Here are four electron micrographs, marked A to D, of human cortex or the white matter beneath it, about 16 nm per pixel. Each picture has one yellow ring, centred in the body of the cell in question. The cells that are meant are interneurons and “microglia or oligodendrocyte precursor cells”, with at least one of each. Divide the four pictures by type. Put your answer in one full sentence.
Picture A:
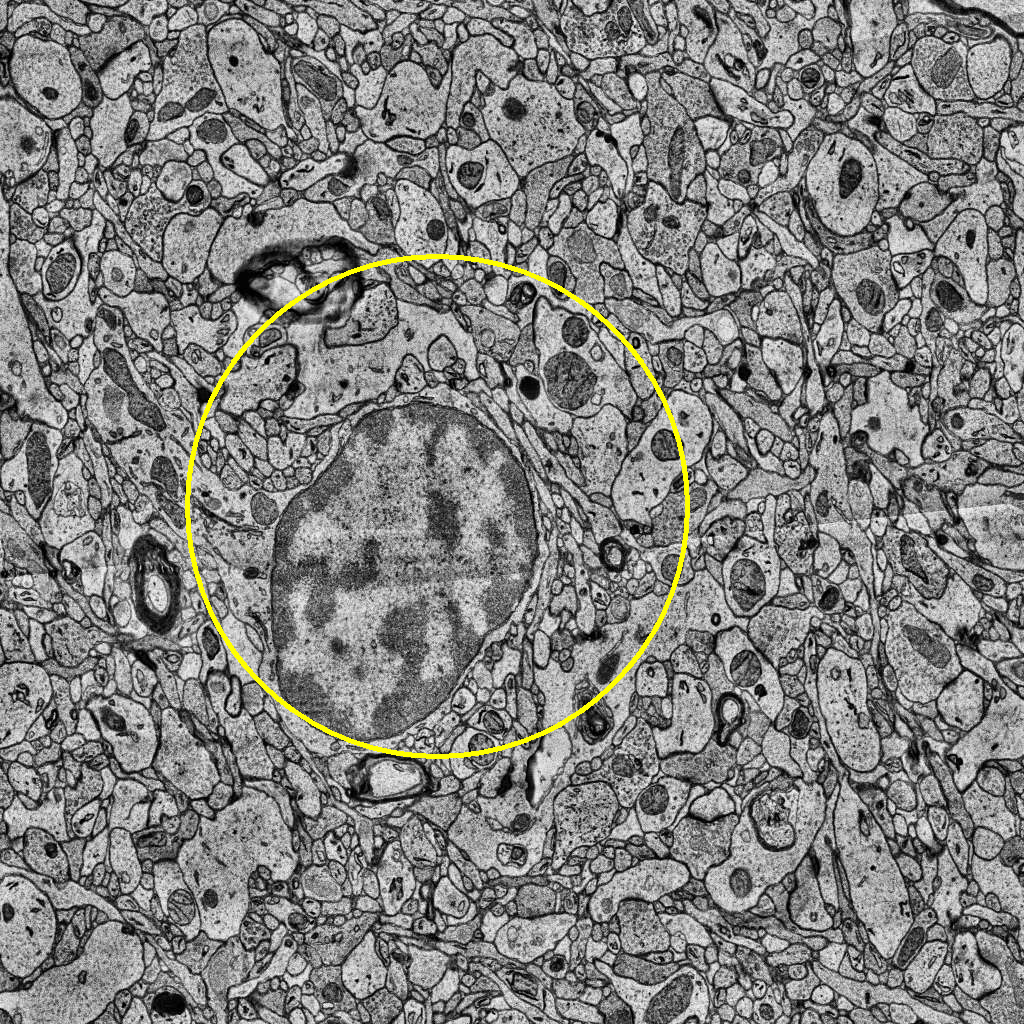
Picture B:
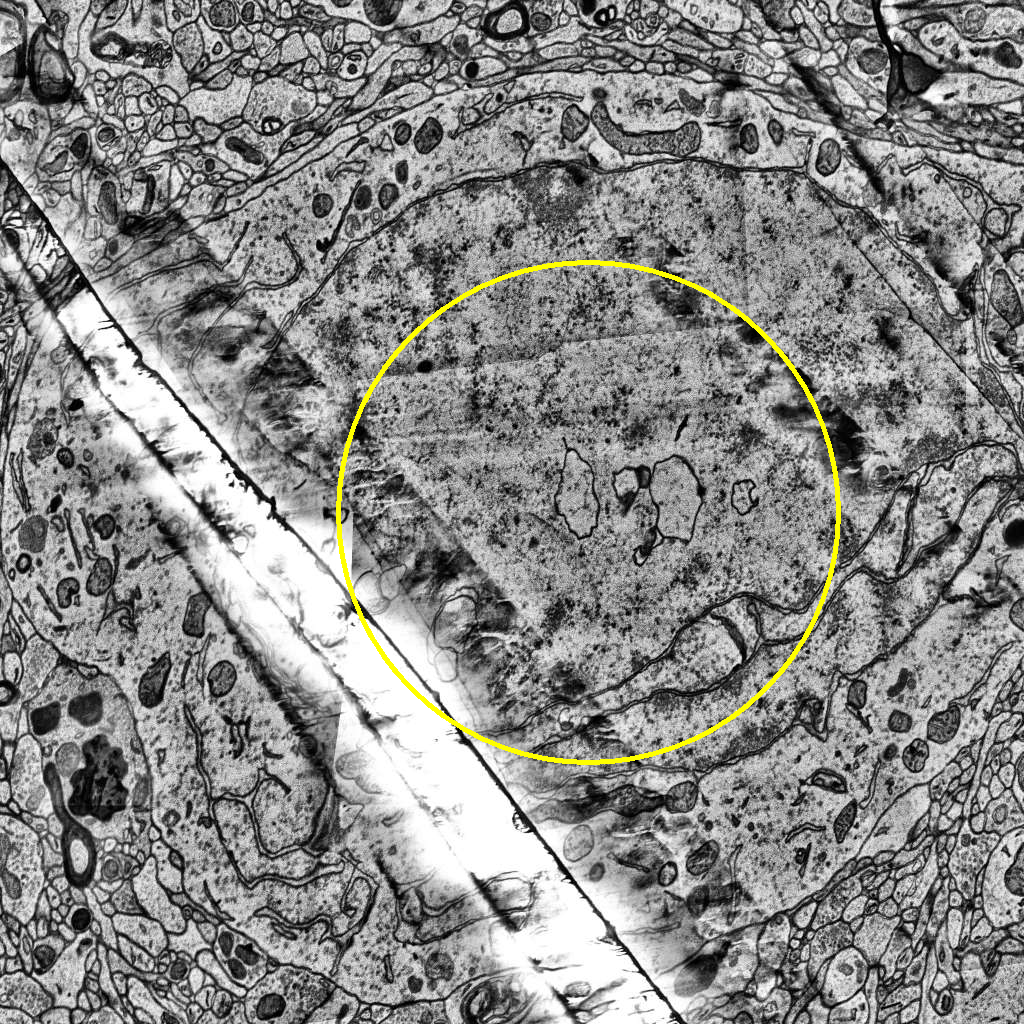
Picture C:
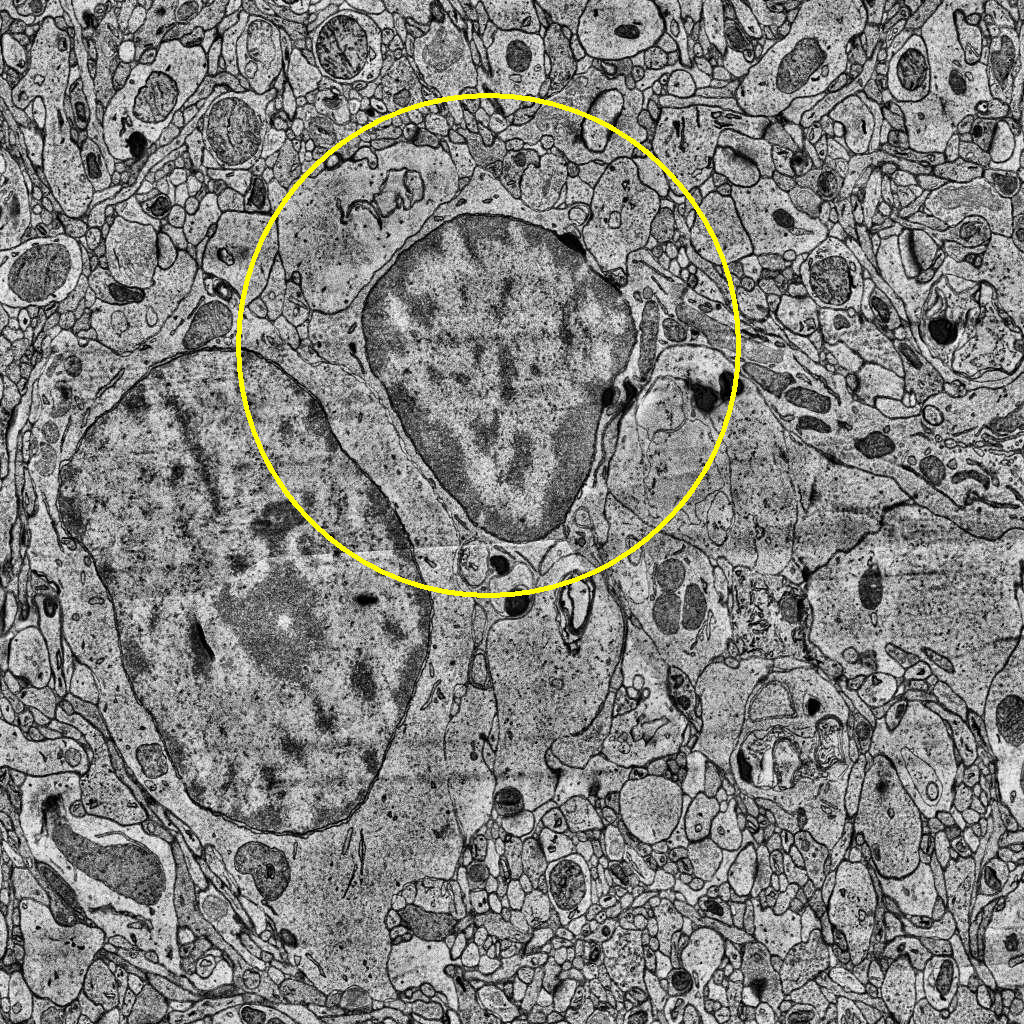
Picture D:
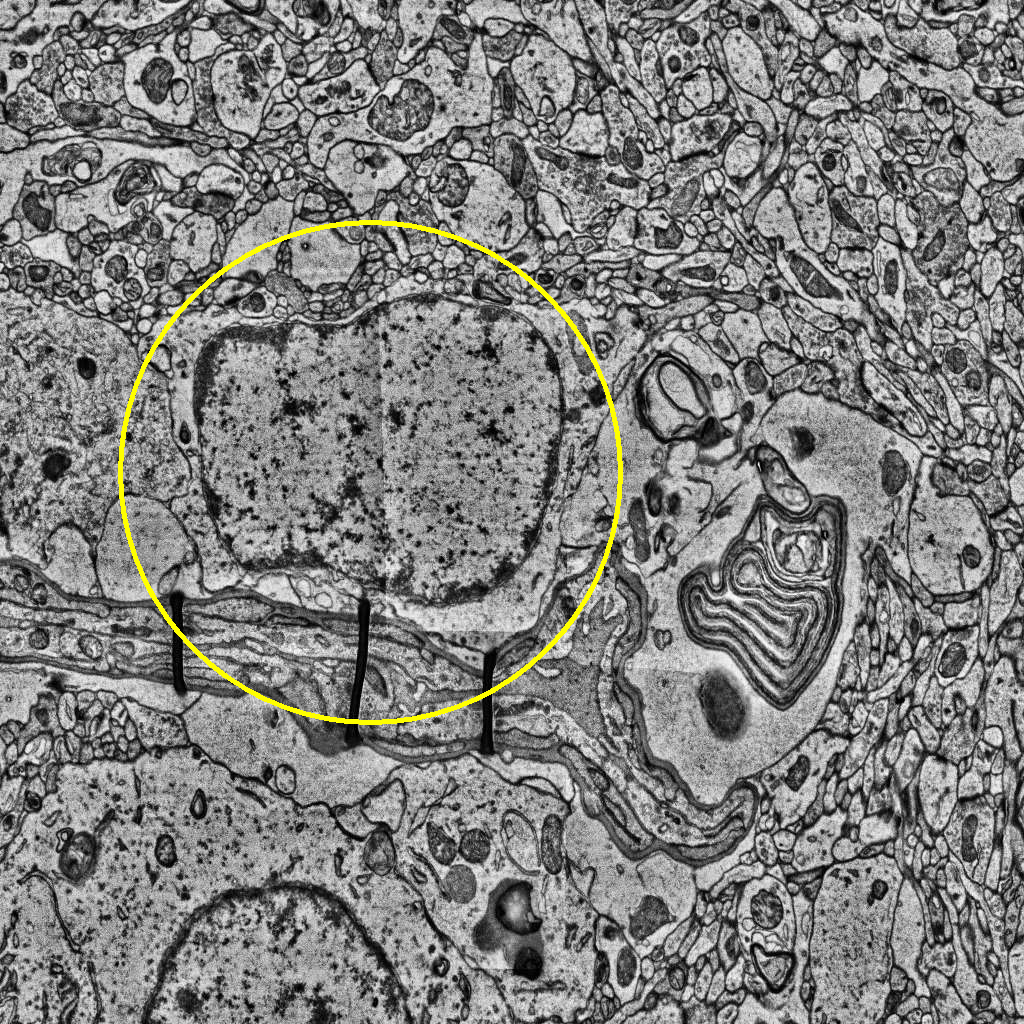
Picture B shows an interneuron, and pictures A, C and D show “microglia or oligodendrocyte precursor cells”.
